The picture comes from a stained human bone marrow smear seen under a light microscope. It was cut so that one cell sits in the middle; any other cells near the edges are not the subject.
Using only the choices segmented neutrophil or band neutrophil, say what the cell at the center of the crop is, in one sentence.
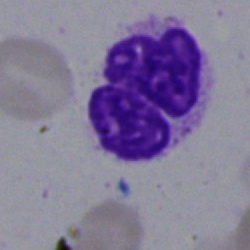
Centrally within this crop lies a segmented neutrophil.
